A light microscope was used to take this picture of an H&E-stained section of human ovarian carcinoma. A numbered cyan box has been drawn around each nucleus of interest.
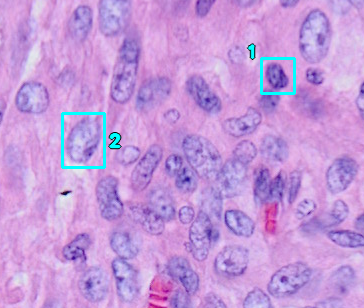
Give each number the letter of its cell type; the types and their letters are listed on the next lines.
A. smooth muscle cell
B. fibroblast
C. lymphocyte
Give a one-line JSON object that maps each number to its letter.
{"1": "C", "2": "B"}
